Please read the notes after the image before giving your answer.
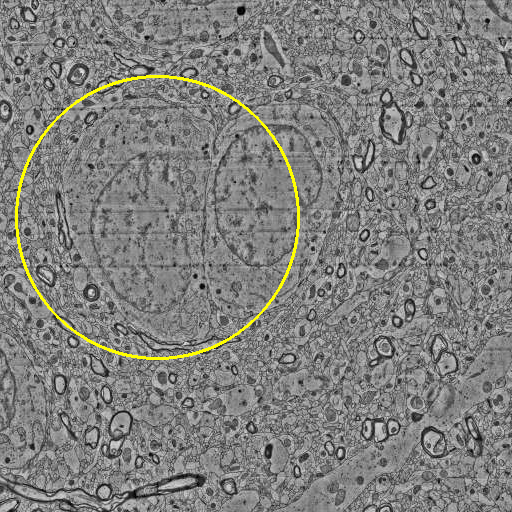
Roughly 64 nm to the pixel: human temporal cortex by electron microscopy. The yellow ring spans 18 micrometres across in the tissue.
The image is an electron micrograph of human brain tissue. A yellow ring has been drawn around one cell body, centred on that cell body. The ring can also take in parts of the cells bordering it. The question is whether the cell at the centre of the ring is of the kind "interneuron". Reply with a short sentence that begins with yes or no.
Yes, the cell at the centre is of that kind.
